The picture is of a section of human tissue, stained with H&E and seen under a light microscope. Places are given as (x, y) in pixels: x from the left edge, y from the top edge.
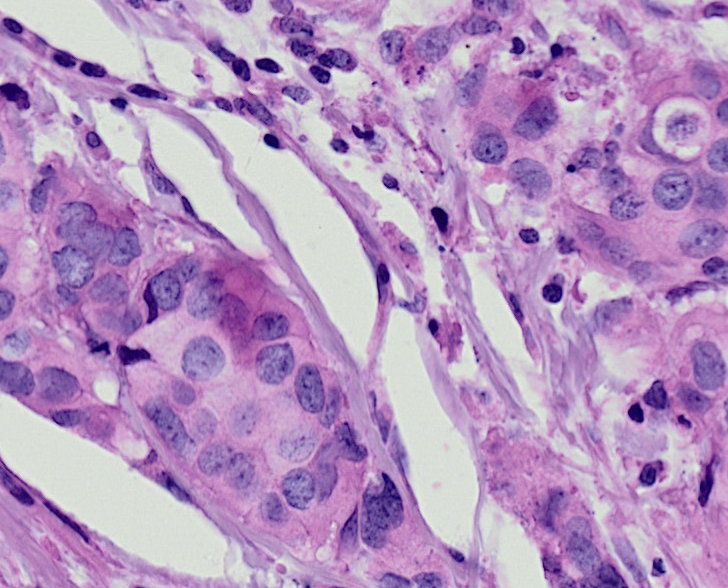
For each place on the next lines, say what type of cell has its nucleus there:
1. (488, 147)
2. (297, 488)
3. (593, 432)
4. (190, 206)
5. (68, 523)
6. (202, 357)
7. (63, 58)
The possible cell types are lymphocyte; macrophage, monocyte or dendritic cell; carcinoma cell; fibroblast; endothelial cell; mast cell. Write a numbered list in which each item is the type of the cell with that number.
1. carcinoma cell
2. carcinoma cell
3. fibroblast
4. fibroblast
5. fibroblast
6. carcinoma cell
7. lymphocyte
